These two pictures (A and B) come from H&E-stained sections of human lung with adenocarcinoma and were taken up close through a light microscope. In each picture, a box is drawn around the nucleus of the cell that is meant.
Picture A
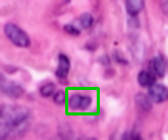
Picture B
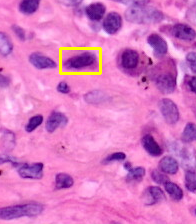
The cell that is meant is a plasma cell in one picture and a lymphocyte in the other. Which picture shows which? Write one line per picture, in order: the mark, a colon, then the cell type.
A: lymphocyte
B: plasma cell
